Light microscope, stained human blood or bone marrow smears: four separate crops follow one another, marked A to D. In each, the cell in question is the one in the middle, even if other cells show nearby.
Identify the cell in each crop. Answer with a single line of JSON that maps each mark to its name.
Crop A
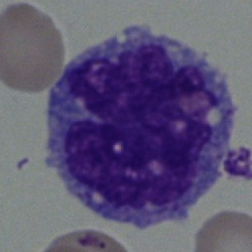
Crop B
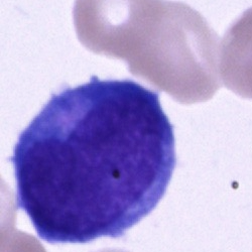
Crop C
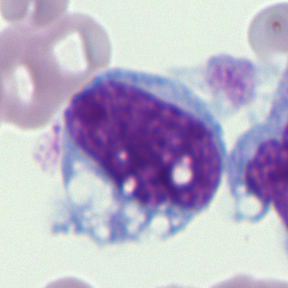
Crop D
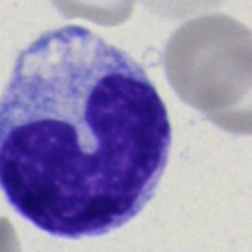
{"A": "monocyte", "B": "blast", "C": "monocyte", "D": "monocyte"}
